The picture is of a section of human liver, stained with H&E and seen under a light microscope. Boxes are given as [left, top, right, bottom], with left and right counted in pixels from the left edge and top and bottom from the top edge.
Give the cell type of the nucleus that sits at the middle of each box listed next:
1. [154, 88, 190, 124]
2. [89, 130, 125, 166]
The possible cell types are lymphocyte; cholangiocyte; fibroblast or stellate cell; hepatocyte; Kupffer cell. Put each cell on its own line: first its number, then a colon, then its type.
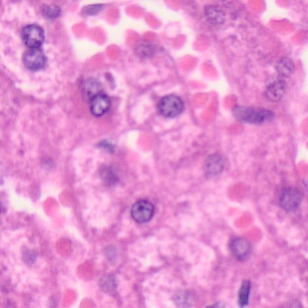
1: hepatocyte
2: fibroblast or stellate cell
